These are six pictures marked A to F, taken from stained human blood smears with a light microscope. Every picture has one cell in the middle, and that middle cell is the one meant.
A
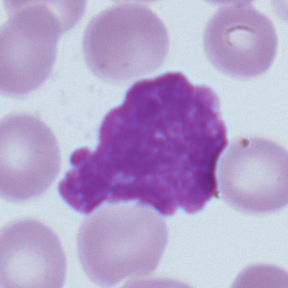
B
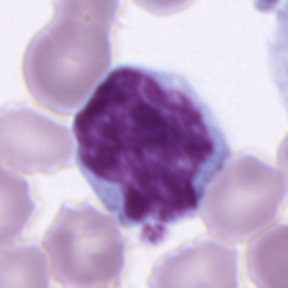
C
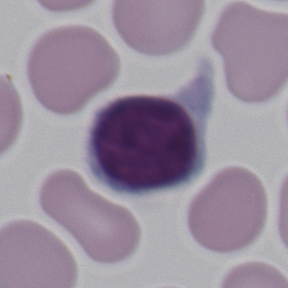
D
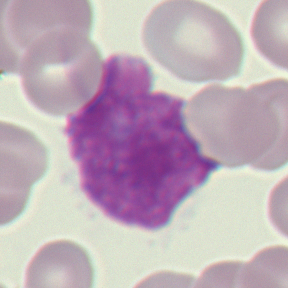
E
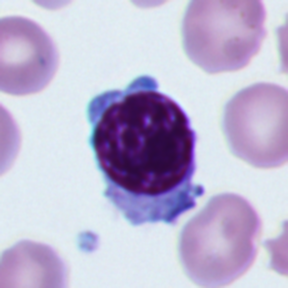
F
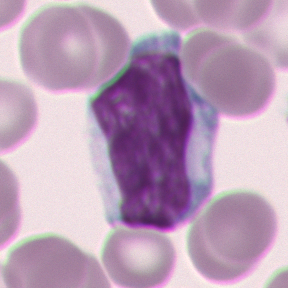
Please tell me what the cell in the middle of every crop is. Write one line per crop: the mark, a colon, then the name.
A: smudge cell
B: typical lymphocyte
C: typical lymphocyte
D: smudge cell
E: typical lymphocyte
F: typical lymphocyte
